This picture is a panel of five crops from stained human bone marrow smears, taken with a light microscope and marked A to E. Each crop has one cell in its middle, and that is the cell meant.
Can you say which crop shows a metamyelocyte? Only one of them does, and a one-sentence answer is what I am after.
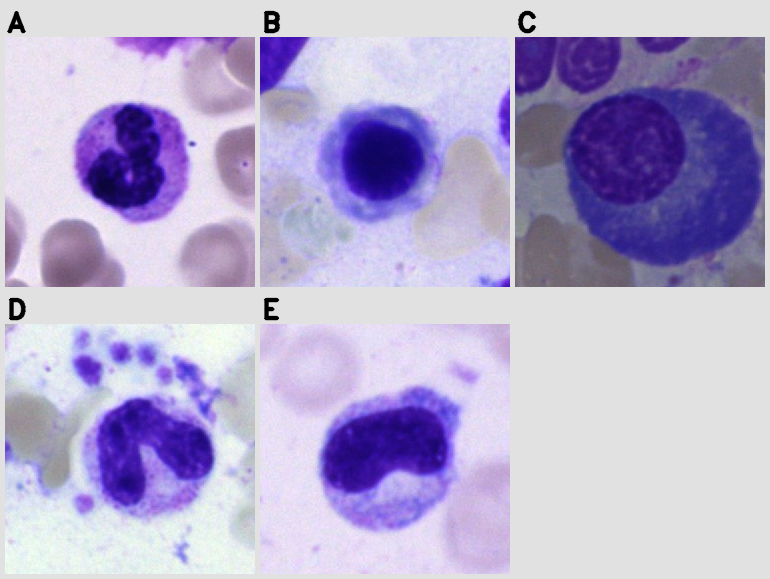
Crop E is where a metamyelocyte is shown.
